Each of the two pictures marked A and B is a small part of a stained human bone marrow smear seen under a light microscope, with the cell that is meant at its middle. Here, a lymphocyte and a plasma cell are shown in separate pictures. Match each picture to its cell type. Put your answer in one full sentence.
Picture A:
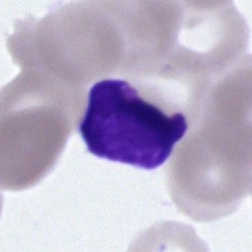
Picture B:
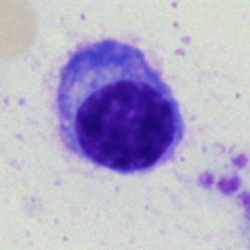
It is picture A that shows a lymphocyte, and picture B that shows a plasma cell.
